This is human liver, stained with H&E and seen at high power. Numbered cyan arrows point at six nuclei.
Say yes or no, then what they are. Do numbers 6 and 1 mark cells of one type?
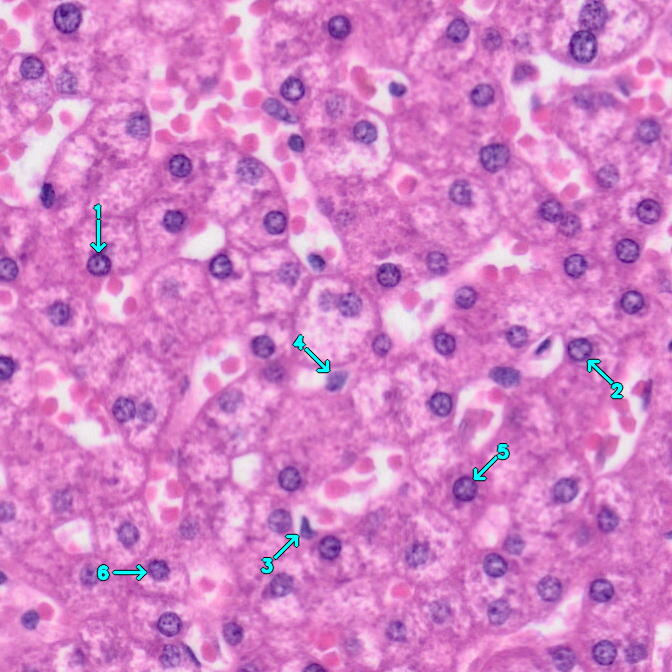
Yes, cells 6 and 1 are alike in being hepatocytes.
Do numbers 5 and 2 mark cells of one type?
Yes, both of the cells numbered 5 and 2 are hepatocytes.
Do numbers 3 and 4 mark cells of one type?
Yes: cells 3 and 4 are both endothelial cells.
